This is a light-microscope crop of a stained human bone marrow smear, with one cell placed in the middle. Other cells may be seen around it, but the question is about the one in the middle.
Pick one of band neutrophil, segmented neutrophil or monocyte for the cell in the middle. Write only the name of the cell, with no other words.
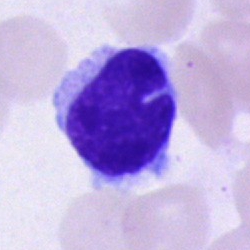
monocyte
